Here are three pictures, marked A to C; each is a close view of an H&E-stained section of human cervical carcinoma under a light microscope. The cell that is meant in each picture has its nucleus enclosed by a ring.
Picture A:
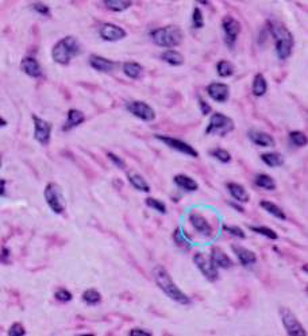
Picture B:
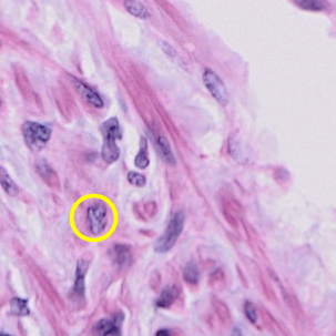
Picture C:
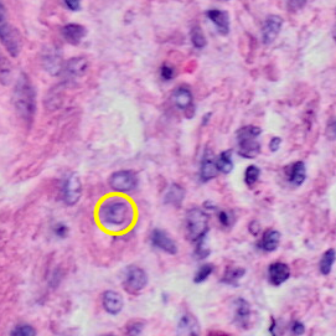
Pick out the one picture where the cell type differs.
A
